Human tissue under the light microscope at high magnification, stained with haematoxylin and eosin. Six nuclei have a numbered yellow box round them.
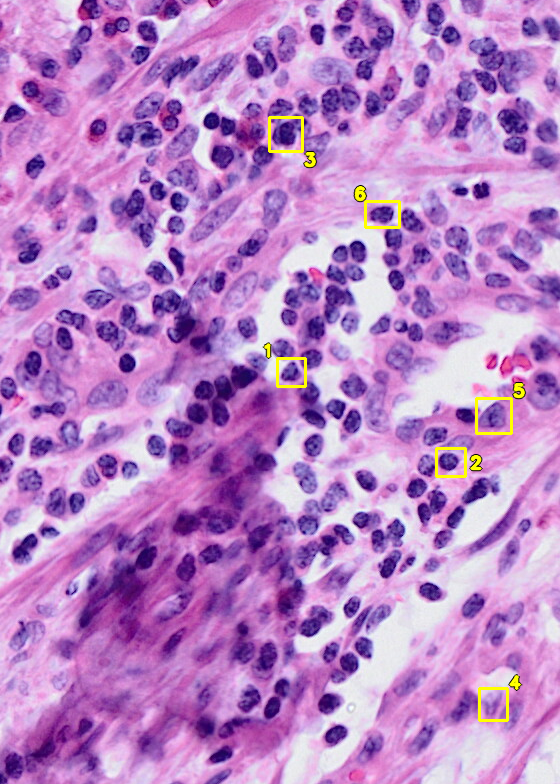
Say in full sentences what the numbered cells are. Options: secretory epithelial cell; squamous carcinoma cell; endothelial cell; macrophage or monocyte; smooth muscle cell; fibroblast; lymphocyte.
Cells 1, 2, 3 and 6 are lymphocytes. Cells 4 and 5 are endothelial cells.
